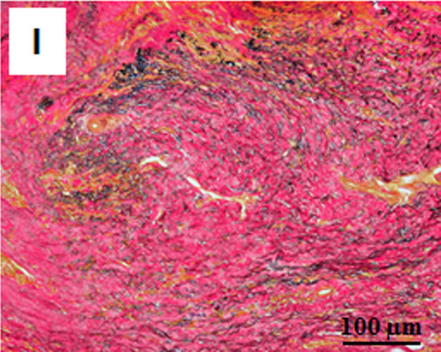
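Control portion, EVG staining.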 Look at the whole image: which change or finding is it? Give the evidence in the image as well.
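Scar tissue formation. Field is dominated by dense, compact red-staining collagen. Few open spaces and little loose stroma.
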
